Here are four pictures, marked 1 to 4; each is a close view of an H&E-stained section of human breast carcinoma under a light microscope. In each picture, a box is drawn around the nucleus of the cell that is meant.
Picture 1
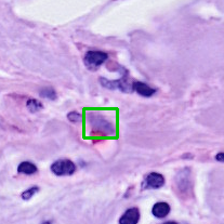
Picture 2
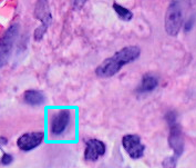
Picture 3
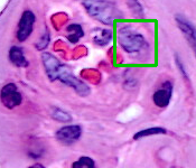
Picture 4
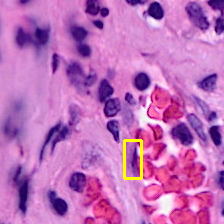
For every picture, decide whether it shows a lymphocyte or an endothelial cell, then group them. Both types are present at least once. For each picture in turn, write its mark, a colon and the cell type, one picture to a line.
1: endothelial cell
2: lymphocyte
3: endothelial cell
4: endothelial cell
